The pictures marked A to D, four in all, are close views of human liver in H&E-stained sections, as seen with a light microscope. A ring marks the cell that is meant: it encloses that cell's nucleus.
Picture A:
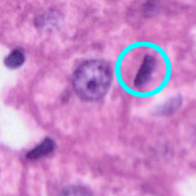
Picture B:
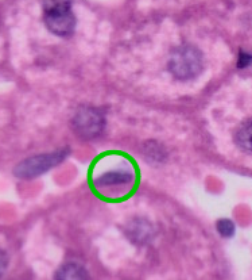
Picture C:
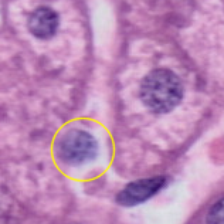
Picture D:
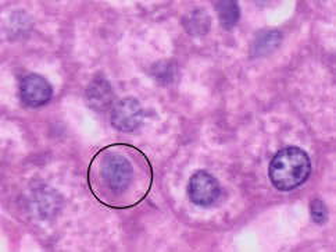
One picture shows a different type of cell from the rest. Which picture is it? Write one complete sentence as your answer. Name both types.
Picture A differs, because its cell is a “fibroblast or stellate cell” and the rest are endothelial cells.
